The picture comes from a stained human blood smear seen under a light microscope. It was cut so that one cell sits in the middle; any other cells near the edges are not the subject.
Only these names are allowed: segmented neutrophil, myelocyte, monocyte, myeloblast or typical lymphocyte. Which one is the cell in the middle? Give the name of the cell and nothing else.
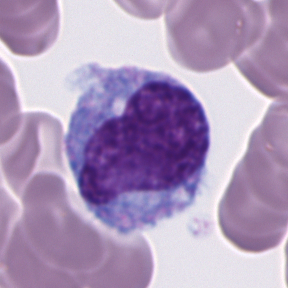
monocyte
